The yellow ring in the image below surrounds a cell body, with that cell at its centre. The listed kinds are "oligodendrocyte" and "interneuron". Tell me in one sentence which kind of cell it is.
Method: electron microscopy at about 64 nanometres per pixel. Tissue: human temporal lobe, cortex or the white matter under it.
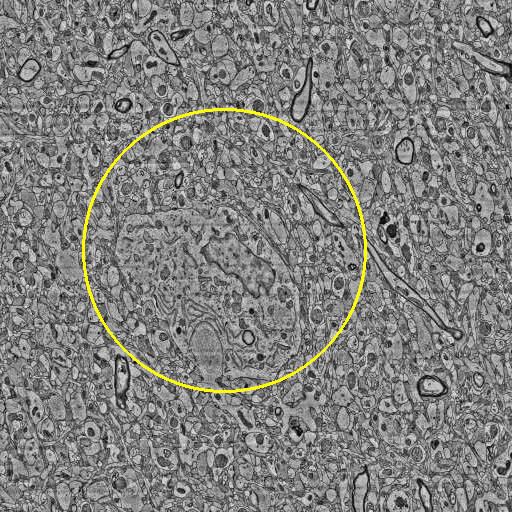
The centre of the ring holds an interneuron.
